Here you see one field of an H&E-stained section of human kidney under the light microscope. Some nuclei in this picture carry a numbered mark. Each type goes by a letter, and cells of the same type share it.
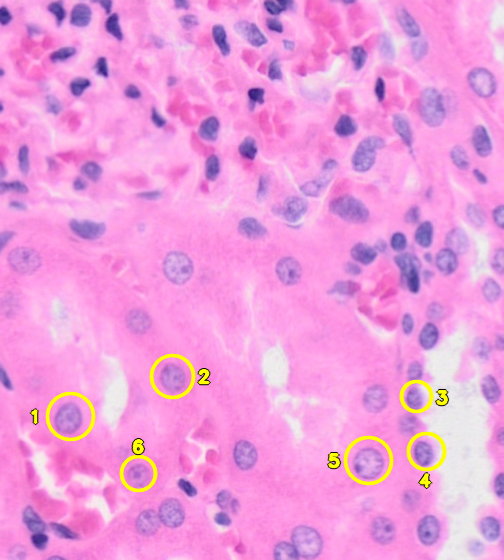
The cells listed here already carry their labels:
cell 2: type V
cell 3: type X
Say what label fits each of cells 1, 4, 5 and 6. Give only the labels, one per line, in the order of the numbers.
type V
type X
type V
type V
